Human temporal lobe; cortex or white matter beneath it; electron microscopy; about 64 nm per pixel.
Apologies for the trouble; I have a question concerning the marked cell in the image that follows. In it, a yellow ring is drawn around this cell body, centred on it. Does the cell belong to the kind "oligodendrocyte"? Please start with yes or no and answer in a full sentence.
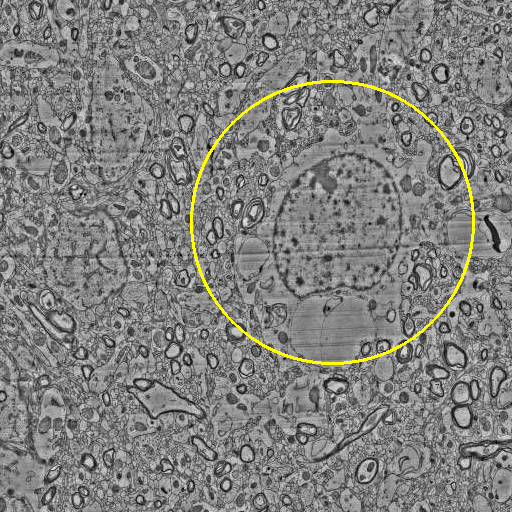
No, the ringed cell in the picture is of a different kind.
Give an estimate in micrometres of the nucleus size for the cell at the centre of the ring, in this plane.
Approximately 10 micrometres long and 8 micrometres wide, in this plane.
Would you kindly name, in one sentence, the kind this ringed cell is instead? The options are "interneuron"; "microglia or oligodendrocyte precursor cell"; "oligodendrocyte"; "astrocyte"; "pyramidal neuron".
Instead, the cell at the centre of the yellow ring is an astrocyte.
